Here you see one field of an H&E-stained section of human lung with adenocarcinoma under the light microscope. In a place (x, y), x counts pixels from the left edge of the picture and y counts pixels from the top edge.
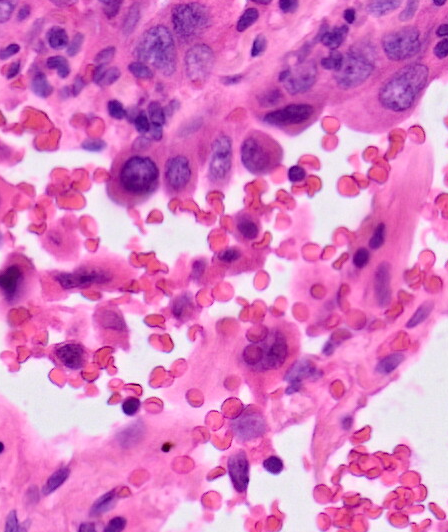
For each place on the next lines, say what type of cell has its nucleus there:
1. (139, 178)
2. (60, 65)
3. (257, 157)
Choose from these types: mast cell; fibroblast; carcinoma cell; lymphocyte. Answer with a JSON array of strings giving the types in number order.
["carcinoma cell", "lymphocyte", "carcinoma cell"]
